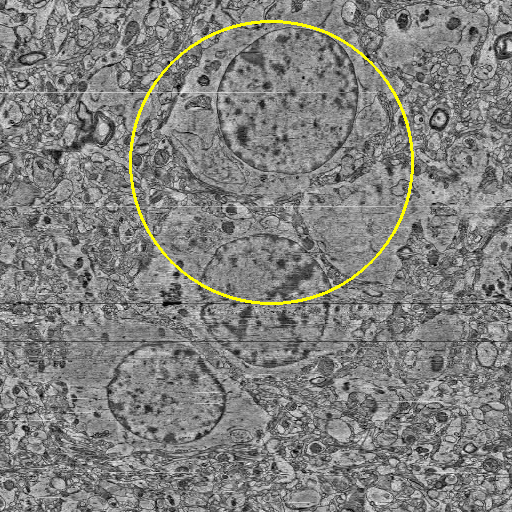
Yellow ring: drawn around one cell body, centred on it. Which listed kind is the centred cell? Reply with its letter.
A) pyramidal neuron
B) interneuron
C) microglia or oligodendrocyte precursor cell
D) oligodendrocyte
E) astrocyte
E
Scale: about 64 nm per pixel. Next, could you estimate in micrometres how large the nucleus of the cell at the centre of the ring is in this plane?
The nucleus is approximately 9 micrometers across in this plane.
